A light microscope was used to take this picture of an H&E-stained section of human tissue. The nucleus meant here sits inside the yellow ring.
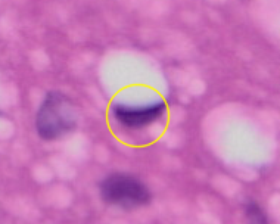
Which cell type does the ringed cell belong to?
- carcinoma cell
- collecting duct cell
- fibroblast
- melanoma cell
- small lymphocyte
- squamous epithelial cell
squamous epithelial cell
